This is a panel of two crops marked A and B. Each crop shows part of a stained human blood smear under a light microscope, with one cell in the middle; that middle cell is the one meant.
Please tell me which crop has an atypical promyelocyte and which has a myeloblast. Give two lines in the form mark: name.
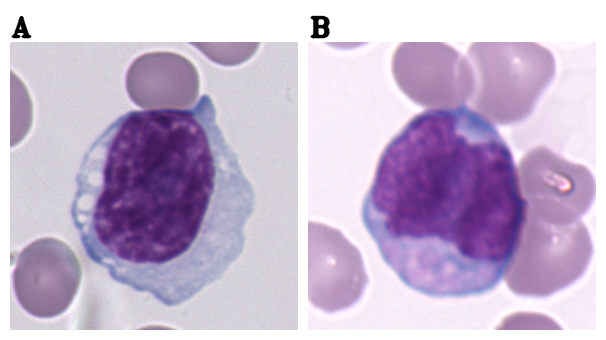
A: myeloblast
B: atypical promyelocyte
